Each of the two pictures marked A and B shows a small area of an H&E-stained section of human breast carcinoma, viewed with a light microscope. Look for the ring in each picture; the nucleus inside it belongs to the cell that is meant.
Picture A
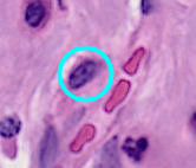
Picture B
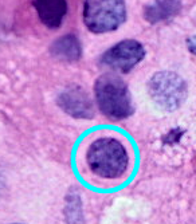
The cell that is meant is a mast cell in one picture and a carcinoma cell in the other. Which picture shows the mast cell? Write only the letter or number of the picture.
A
